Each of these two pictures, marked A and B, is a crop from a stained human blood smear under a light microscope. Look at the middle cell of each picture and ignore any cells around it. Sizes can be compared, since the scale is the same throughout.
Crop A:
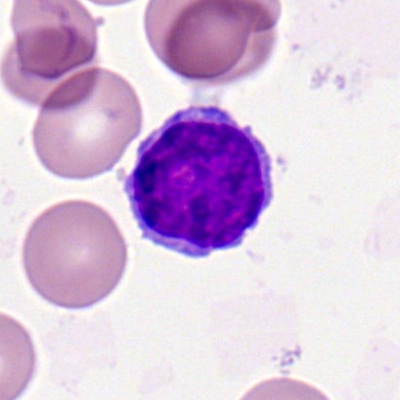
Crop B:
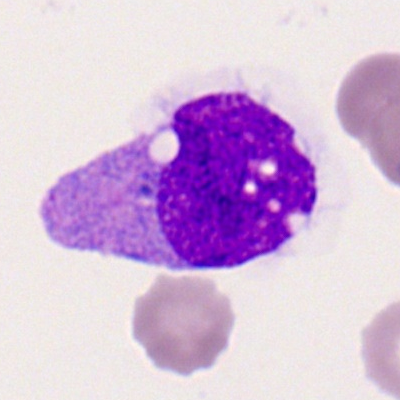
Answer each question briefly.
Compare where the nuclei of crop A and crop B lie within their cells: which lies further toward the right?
B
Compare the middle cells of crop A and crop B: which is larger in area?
B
